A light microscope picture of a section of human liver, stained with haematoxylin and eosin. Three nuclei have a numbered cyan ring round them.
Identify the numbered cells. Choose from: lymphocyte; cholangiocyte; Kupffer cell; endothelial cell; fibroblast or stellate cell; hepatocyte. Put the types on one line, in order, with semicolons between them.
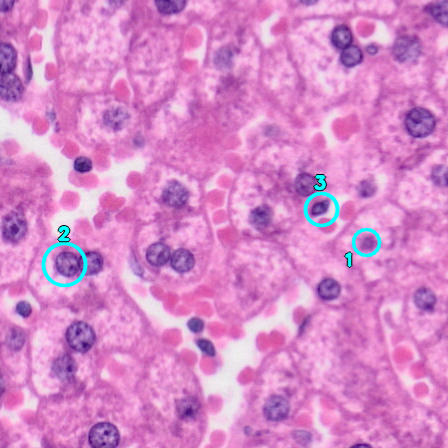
hepatocyte; hepatocyte; lymphocyte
